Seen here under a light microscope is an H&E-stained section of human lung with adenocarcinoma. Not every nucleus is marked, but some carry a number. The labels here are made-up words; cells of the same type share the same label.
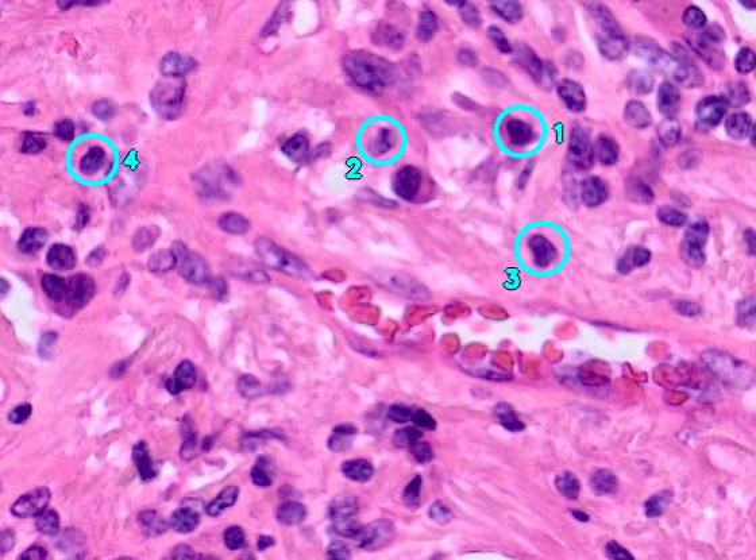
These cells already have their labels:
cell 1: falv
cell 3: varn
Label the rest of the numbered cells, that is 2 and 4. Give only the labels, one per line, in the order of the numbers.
varn
varn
